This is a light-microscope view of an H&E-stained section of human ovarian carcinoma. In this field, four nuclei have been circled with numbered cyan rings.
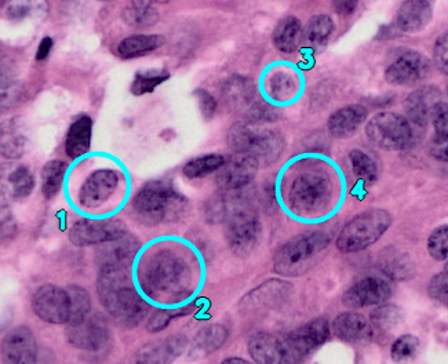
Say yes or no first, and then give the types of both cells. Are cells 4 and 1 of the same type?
No, cell 4 is a carcinoma cell and cell 1 is a macrophage or monocyte.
